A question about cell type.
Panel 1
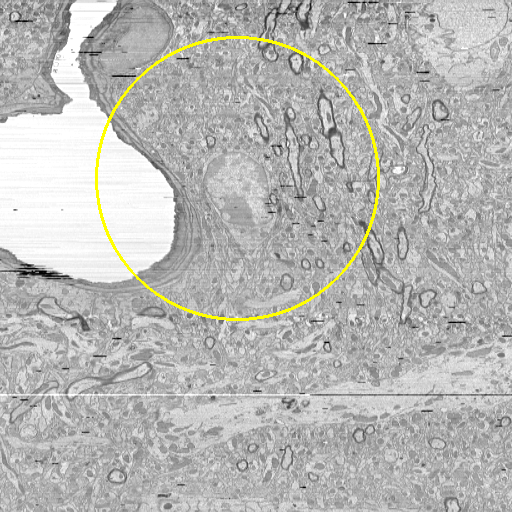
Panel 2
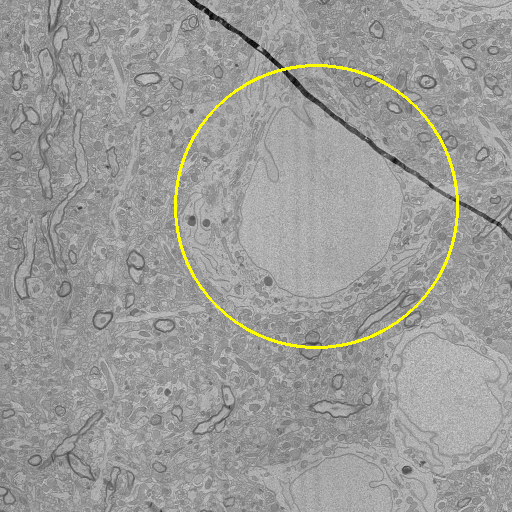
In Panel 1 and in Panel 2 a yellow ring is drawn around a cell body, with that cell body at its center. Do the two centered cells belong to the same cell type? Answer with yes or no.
no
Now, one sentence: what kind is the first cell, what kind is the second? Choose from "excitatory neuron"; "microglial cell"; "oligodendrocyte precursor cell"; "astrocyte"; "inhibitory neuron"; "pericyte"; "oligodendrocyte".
The first picture has an oligodendrocyte at its ring centre, and the second has an excitatory neuron.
